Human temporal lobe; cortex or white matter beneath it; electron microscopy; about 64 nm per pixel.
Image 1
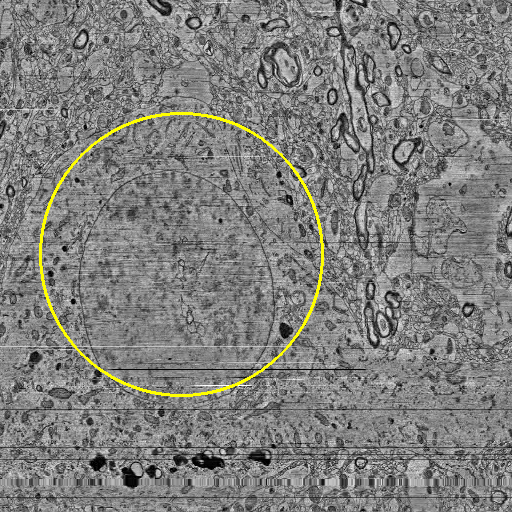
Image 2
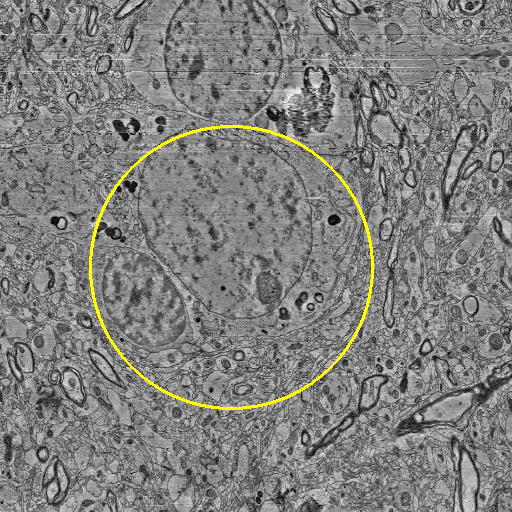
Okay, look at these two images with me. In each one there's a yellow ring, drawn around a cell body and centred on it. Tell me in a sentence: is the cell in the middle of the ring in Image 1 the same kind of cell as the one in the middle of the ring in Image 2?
Yes, they're the same kind of cell.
